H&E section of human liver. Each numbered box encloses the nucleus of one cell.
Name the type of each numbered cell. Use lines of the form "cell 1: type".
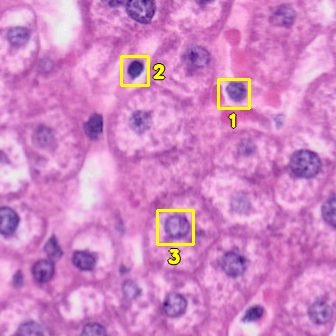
cell 1: lymphocyte
cell 2: lymphocyte
cell 3: hepatocyte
